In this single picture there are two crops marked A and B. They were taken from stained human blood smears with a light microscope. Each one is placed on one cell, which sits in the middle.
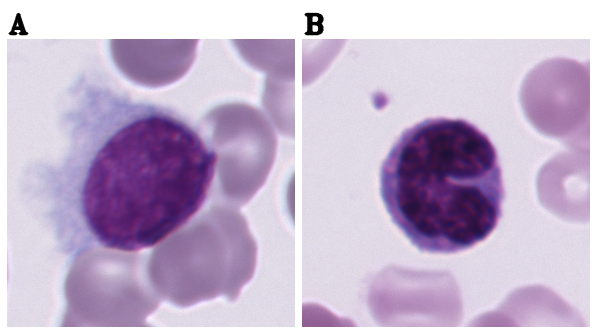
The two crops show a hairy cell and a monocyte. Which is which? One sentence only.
Crop A is a hairy cell, while a monocyte is the cell in crop B.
